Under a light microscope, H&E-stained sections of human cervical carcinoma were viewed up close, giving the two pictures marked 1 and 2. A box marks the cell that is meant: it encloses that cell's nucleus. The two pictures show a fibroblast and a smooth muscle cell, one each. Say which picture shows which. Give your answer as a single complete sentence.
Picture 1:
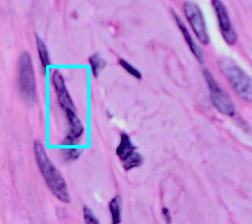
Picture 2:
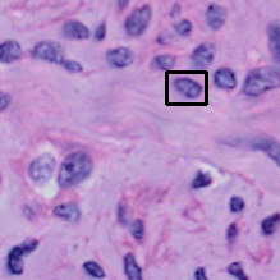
The cell in picture 1 is a fibroblast, and the one in picture 2 is a smooth muscle cell.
